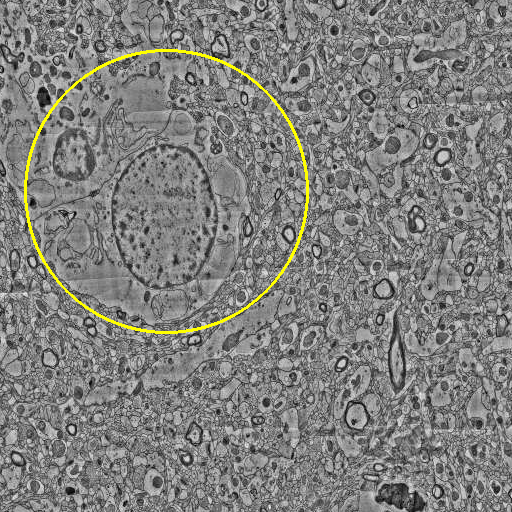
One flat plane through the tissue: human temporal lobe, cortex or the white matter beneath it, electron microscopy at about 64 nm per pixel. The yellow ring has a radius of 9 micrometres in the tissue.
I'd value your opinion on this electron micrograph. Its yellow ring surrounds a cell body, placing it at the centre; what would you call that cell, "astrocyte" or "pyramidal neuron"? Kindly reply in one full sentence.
It is an astrocyte that sits centred within the yellow ring in this micrograph.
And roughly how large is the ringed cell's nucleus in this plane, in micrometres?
In this plane the nucleus measures roughly 9 by 7 micrometres.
